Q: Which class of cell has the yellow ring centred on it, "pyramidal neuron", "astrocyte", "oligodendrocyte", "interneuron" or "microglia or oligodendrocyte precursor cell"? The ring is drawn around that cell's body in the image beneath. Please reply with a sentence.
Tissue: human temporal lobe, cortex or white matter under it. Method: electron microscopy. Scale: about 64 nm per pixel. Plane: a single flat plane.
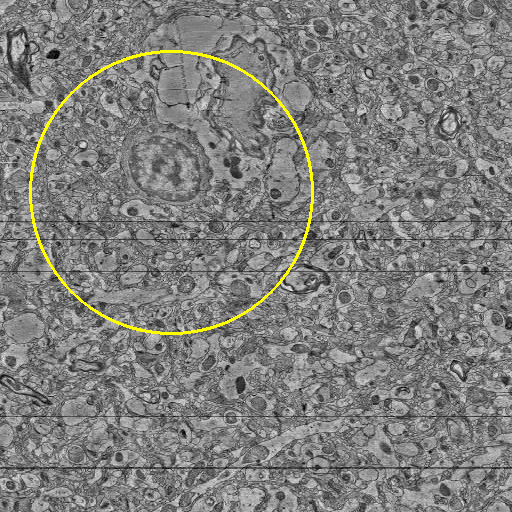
It is centred on an oligodendrocyte.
